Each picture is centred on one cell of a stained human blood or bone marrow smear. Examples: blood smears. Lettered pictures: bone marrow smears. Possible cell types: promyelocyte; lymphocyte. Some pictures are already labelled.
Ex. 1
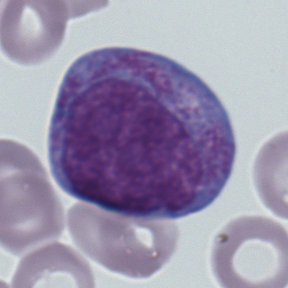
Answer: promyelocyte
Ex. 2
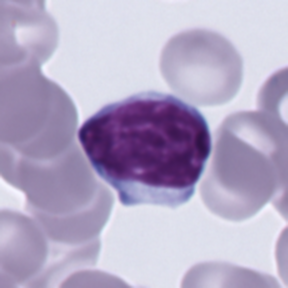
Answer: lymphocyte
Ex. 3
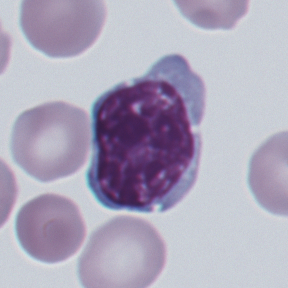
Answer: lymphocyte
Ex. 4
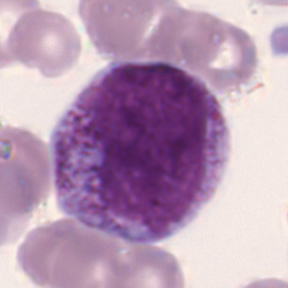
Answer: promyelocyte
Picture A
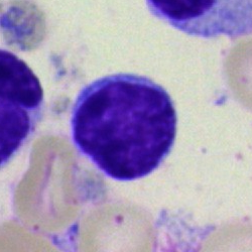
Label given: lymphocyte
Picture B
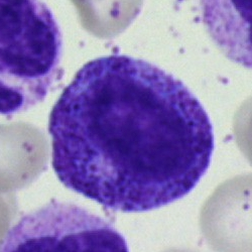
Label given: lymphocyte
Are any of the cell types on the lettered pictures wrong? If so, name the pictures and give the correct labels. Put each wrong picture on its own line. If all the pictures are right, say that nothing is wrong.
B: promyelocyte, not lymphocyte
